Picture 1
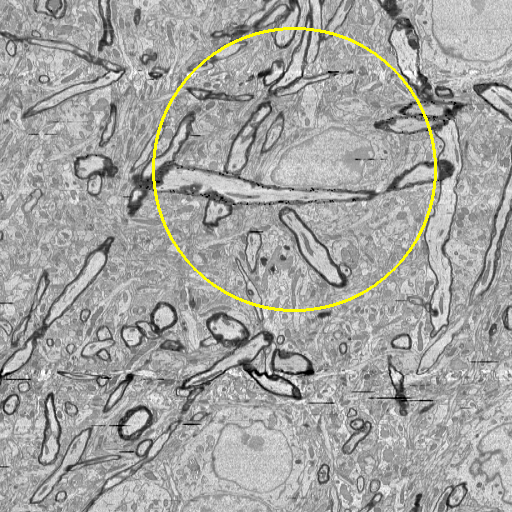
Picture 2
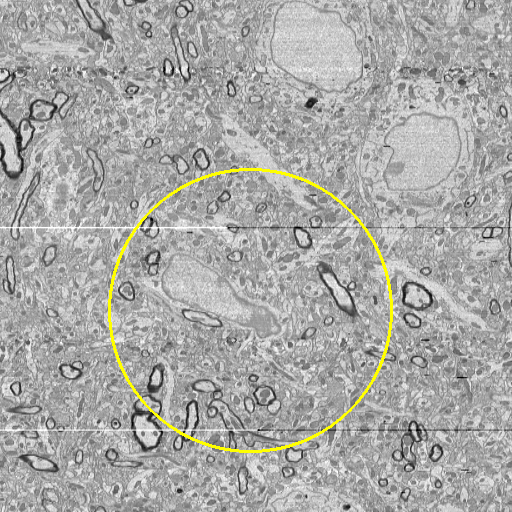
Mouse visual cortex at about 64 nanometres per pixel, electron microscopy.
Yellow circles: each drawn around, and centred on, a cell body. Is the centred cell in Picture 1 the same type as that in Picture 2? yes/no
yes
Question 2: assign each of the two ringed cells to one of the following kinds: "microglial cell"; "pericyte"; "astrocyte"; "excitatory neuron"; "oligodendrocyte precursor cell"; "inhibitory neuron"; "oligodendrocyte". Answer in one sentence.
Both the first and the second picture show an oligodendrocyte precursor cell in the ring.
